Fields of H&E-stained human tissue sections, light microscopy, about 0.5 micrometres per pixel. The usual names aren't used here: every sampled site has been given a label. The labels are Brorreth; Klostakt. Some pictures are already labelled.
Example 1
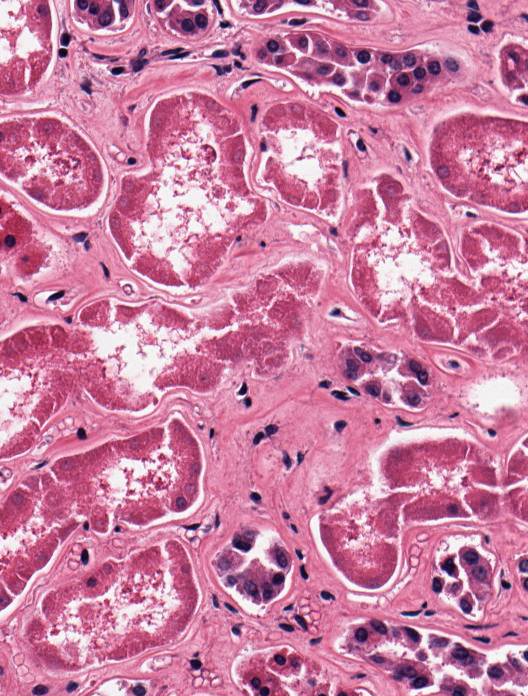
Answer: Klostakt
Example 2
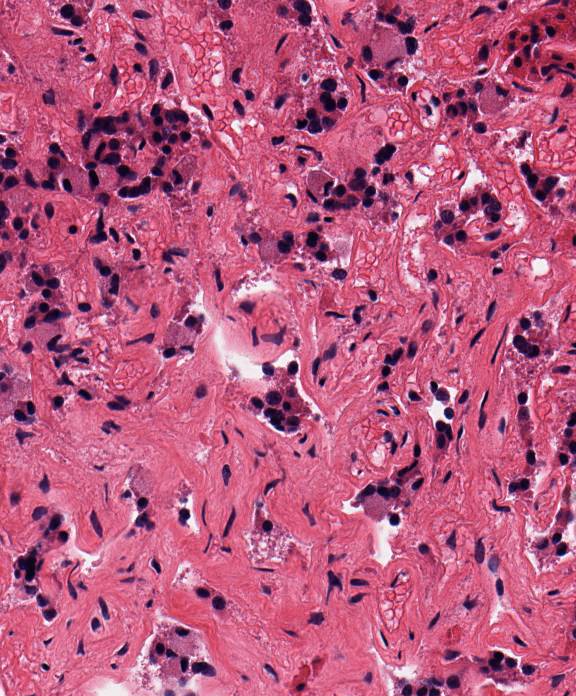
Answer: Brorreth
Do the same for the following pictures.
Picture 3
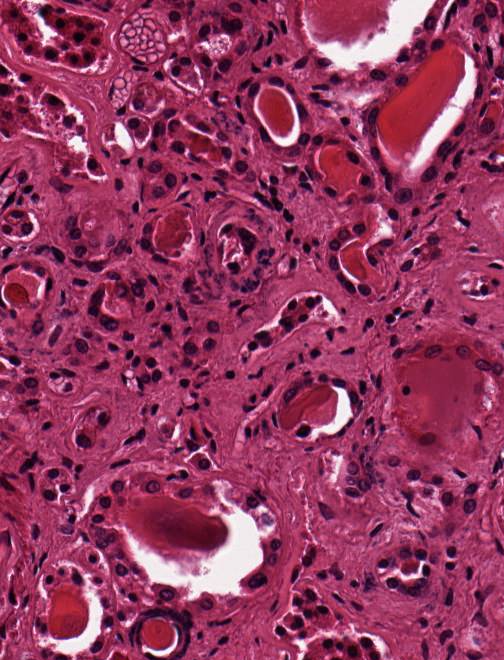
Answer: Klostakt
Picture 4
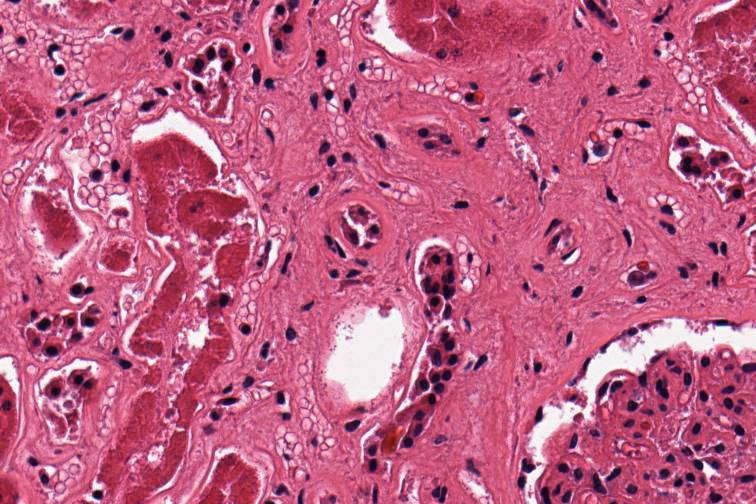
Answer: Klostakt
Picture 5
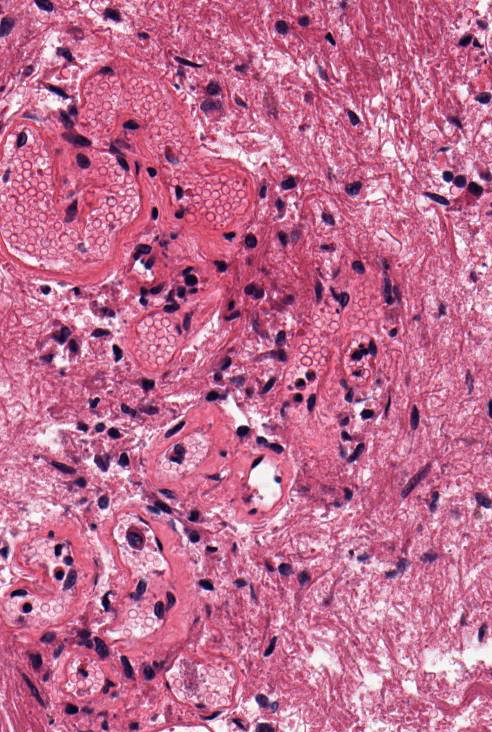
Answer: Brorreth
